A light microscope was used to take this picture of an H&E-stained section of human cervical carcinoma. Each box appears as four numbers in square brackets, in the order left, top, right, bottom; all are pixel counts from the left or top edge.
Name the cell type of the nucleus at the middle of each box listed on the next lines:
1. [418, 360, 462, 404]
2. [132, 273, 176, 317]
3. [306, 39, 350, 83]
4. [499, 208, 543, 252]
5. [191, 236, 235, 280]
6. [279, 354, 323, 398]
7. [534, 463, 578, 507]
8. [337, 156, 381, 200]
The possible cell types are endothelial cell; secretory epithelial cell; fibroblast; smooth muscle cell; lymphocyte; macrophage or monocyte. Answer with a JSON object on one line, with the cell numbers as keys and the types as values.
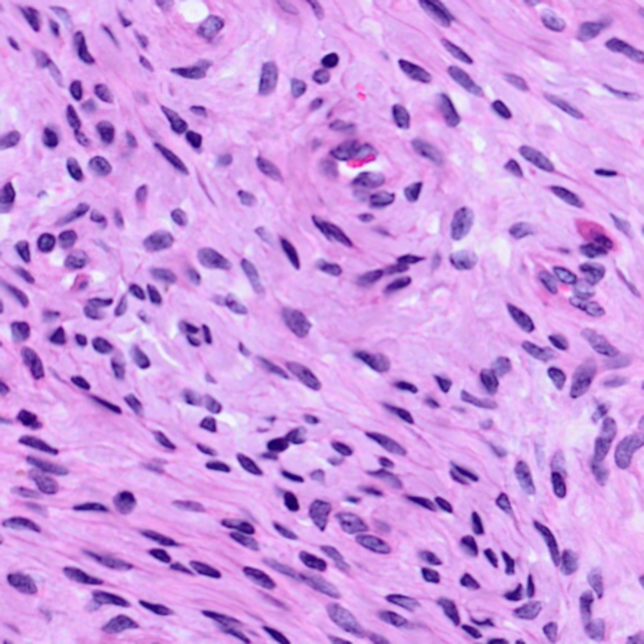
{"1": "fibroblast", "2": "fibroblast", "3": "lymphocyte", "4": "fibroblast", "5": "fibroblast", "6": "fibroblast", "7": "lymphocyte", "8": "endothelial cell"}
